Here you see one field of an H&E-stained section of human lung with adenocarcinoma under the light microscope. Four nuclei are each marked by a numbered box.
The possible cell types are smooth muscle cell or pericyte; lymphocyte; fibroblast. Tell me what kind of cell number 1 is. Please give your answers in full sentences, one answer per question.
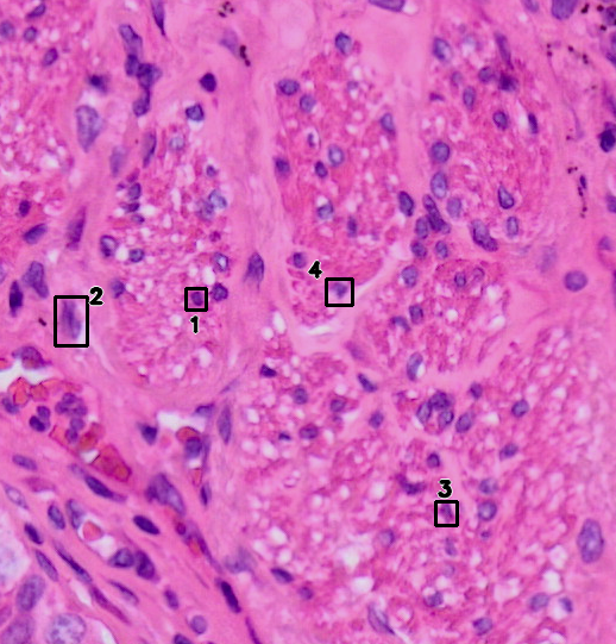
The cell referred to as 1 is a smooth muscle cell or pericyte.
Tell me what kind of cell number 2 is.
The cell that bears the number 2 is a fibroblast.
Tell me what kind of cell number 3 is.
Belonging to a smooth muscle cell or pericyte is the nucleus that carries the number 3.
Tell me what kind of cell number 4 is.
Cell 4, as marked in the section, is a smooth muscle cell or pericyte.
